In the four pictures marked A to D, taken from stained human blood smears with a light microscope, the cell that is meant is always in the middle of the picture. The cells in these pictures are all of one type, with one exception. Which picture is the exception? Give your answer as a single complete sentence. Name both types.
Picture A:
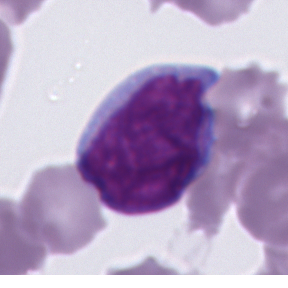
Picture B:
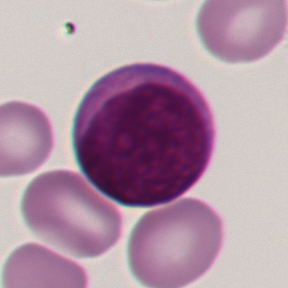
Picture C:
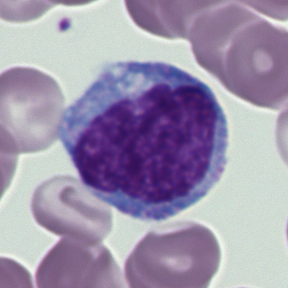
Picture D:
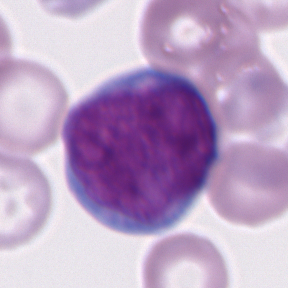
The different one is picture C; it shows a monocyte, whereas all the others show myeloblasts.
